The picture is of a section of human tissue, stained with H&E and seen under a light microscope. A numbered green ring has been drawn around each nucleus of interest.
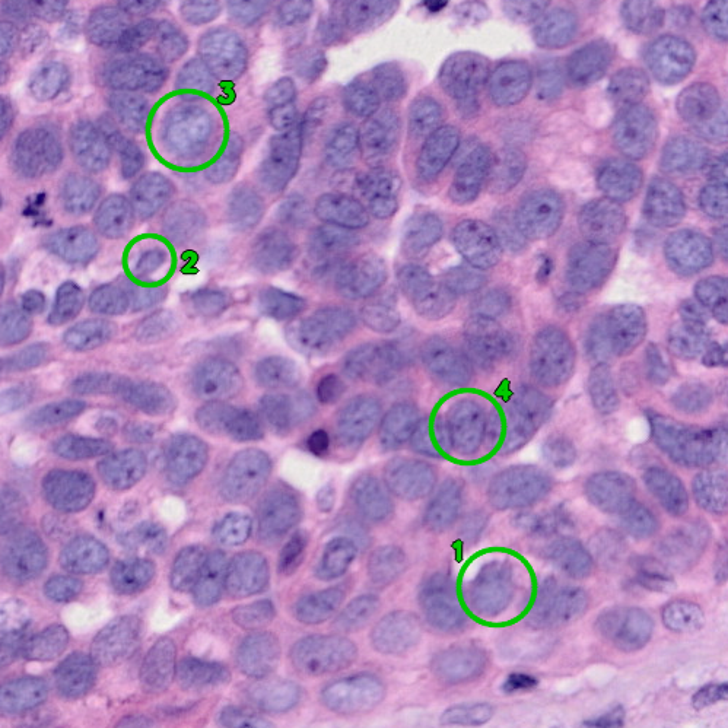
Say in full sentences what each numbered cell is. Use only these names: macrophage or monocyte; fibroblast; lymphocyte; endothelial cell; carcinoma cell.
Cell 1 is a carcinoma cell, cell 2 is a macrophage or monocyte, cell 3 is a carcinoma cell and cell 4 is a carcinoma cell.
